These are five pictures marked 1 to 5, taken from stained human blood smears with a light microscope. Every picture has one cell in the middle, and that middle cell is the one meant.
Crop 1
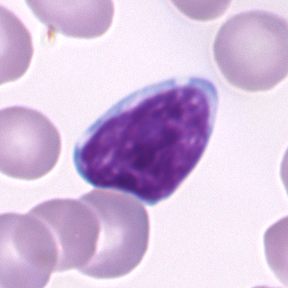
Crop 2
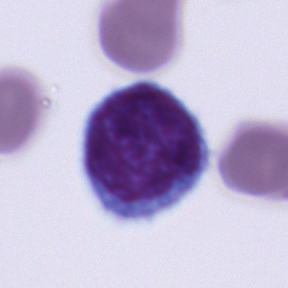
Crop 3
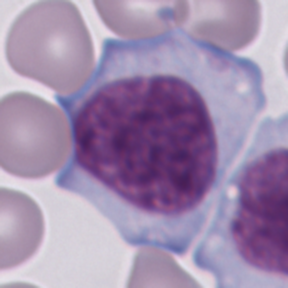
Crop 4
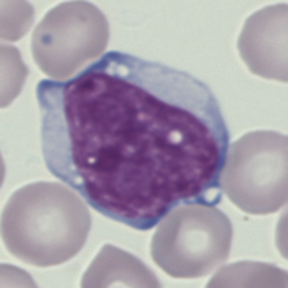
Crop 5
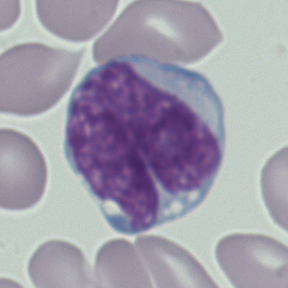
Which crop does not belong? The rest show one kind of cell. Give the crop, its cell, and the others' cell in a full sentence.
As the exception to the myeloblasts in the other crops, crop 2 shows a typical lymphocyte.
